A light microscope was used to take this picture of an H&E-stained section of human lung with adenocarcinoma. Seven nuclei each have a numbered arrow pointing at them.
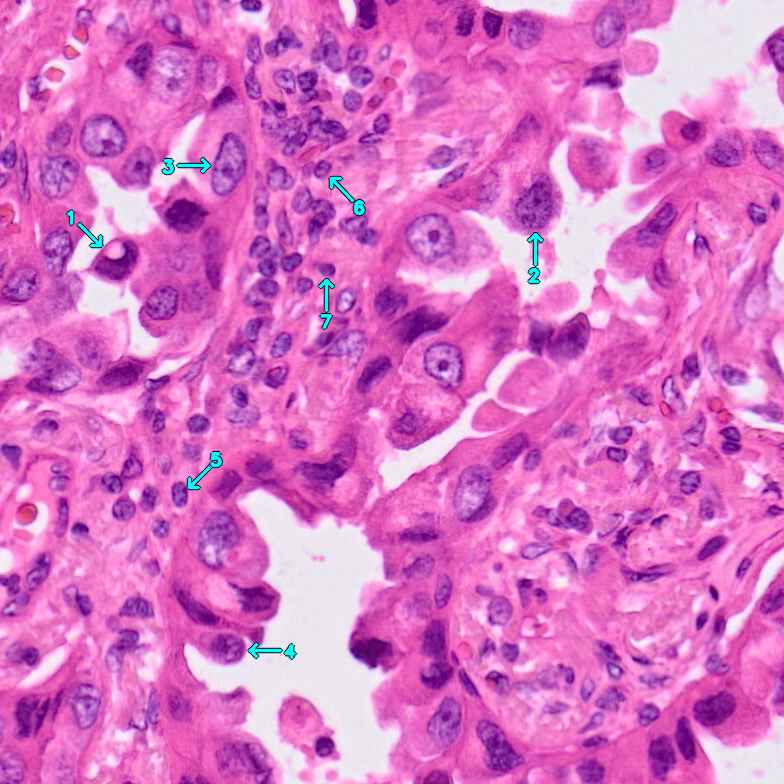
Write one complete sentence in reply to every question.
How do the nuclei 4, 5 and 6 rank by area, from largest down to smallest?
The nuclei rank 4, 5, 6, from largest to smallest.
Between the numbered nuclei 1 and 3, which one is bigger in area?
The larger nucleus is 3, at roughly 1.5 times the area of 1.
